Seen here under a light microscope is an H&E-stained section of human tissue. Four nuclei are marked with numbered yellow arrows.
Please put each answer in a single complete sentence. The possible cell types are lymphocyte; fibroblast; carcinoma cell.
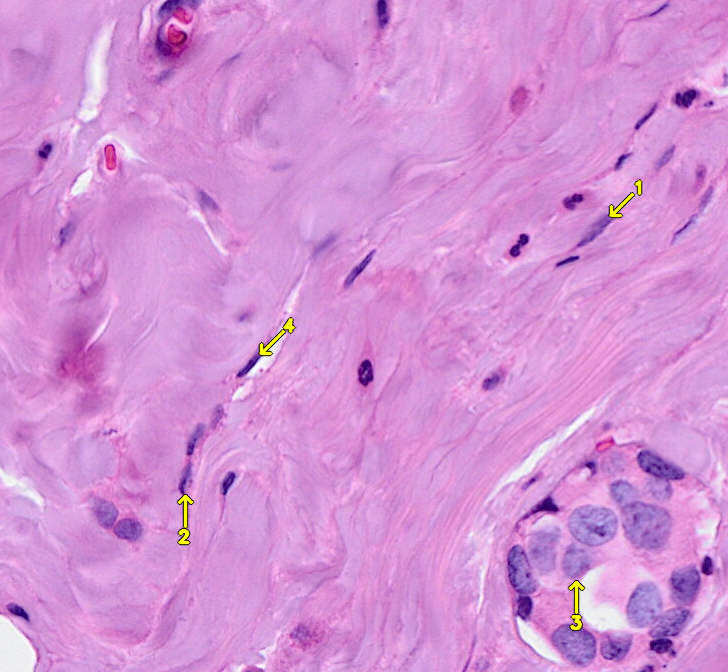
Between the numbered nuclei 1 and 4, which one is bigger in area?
It is nucleus 1, which covers about 1.5 times the area of nucleus 4.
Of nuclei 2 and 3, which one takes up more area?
At about 3 times the area of nucleus 2, nucleus 3 is the larger of the two.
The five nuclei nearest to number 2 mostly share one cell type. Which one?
Fibroblasts make up most of the five nuclei closest to number 2.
